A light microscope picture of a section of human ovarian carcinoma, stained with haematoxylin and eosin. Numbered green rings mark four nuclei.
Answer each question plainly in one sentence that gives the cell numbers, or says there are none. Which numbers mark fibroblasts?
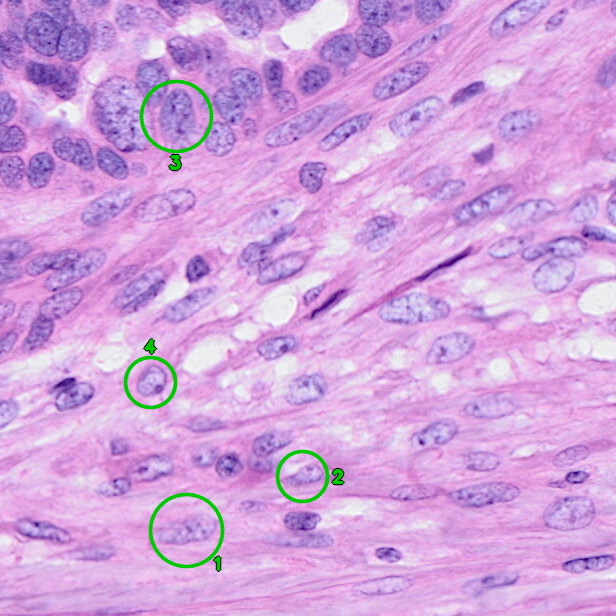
The cells bearing the numbers 1, 2 and 4 are fibroblasts.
